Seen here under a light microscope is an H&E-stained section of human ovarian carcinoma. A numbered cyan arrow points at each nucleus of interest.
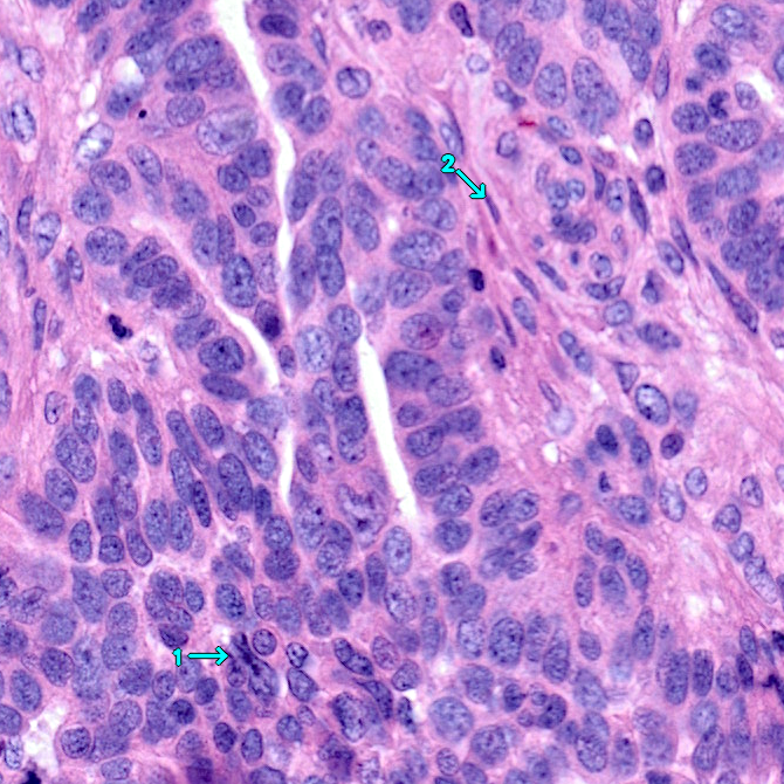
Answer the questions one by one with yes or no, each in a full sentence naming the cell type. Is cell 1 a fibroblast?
No, cell 1 does not represent a fibroblast; it represents a carcinoma cell.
